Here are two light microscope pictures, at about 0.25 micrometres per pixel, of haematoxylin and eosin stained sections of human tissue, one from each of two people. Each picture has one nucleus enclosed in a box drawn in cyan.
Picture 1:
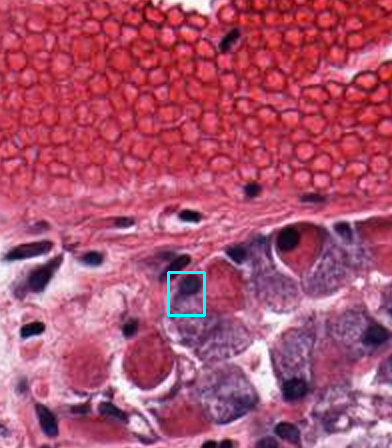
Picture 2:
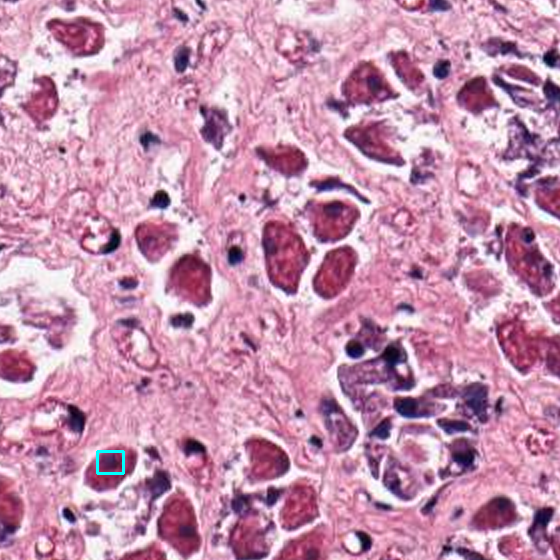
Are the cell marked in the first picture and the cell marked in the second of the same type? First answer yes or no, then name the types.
No, the first is a chief cell and the second a parietal cell.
